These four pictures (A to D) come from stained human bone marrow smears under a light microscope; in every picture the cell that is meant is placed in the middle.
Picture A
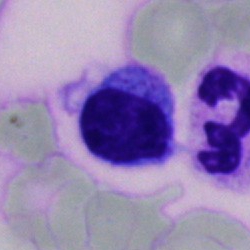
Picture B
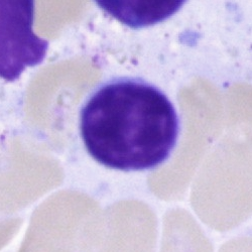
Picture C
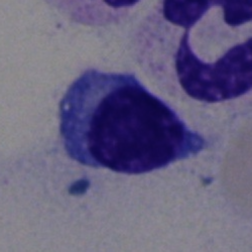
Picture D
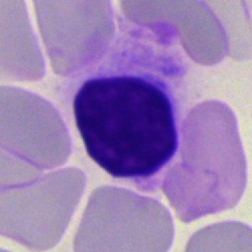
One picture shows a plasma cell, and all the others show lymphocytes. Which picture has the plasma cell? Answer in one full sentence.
The plasma cell is the one in picture C.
